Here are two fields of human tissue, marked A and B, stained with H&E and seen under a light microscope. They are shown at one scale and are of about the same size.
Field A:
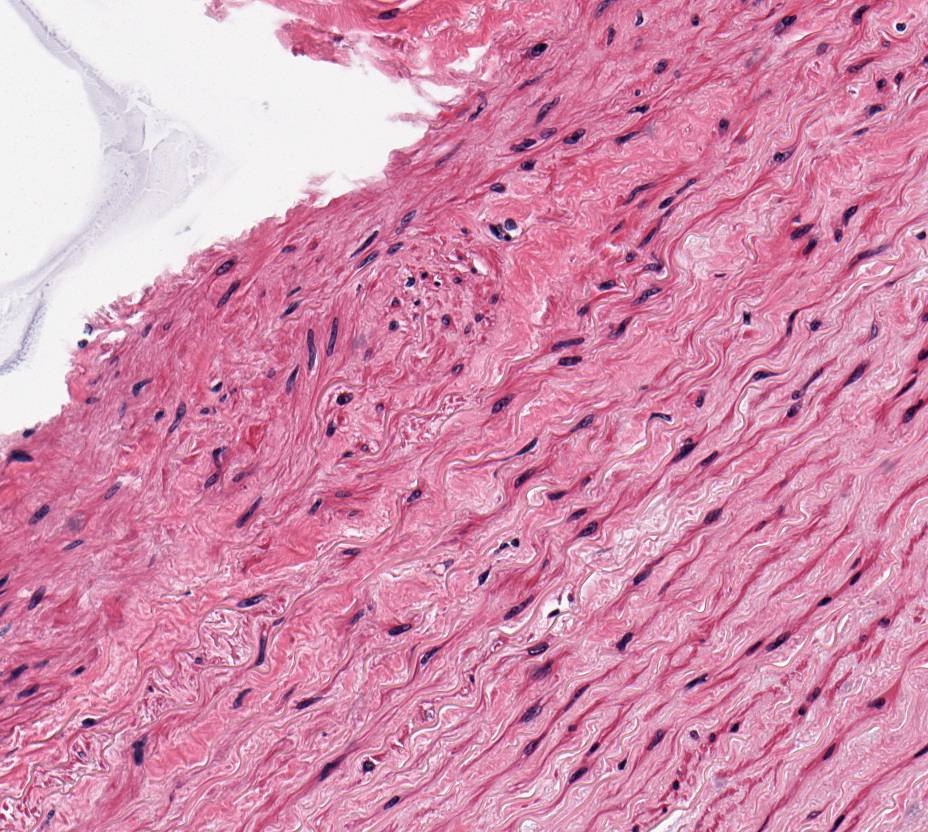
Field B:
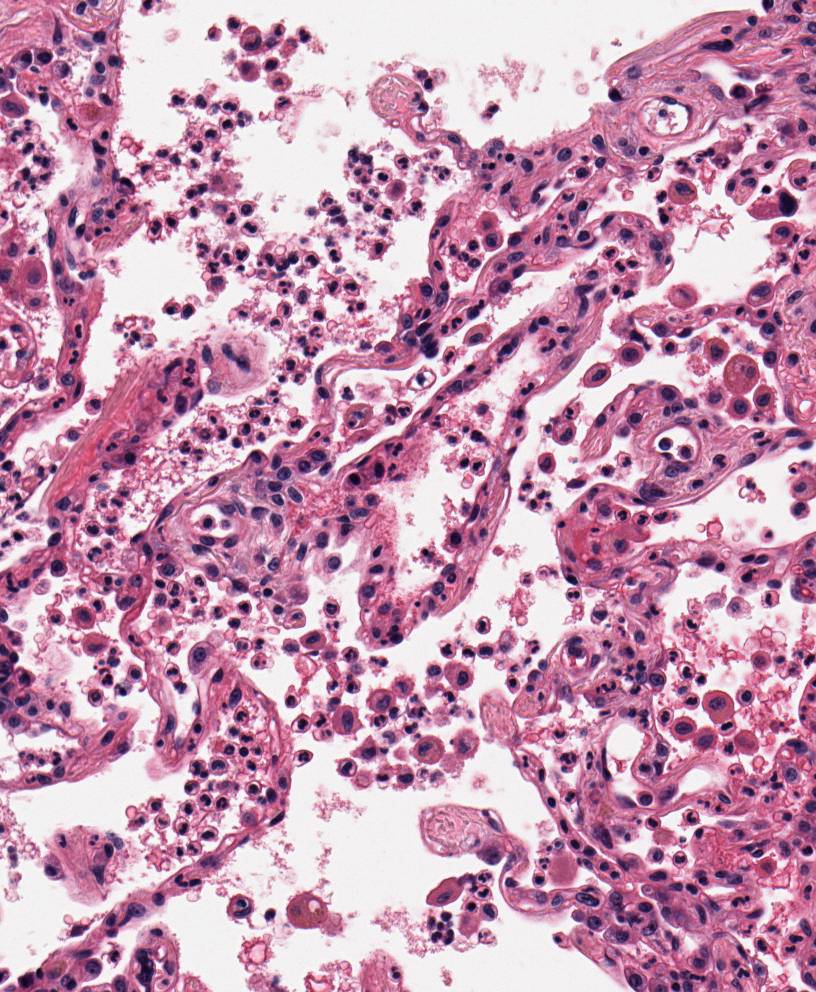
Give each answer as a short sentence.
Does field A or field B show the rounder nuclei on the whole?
Rounder nuclei lie in field B.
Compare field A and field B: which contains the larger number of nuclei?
Field B holds more nuclei than field A.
